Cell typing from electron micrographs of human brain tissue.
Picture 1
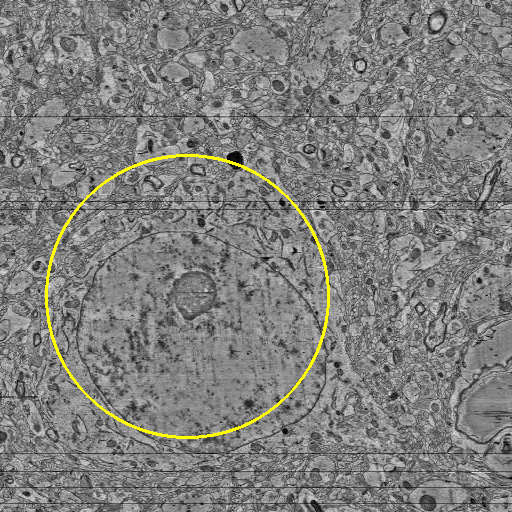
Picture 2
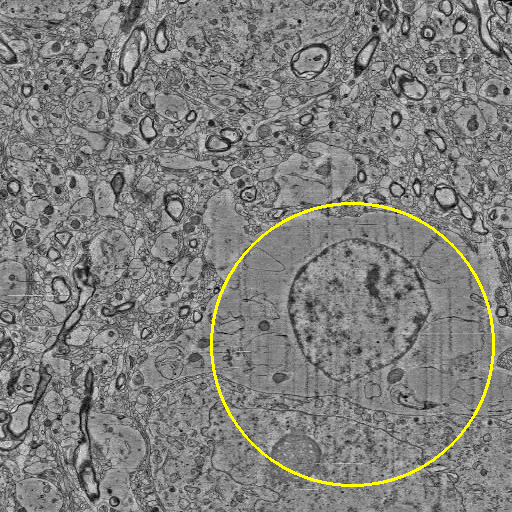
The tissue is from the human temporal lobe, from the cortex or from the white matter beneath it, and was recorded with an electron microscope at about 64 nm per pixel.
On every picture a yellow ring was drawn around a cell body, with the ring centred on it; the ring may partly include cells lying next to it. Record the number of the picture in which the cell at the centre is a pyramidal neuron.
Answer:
1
